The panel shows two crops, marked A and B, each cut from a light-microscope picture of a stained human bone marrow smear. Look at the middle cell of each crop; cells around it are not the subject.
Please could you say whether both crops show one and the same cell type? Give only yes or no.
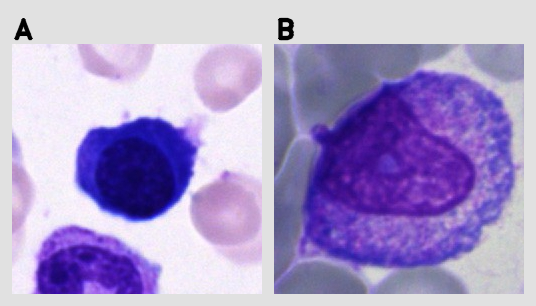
no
